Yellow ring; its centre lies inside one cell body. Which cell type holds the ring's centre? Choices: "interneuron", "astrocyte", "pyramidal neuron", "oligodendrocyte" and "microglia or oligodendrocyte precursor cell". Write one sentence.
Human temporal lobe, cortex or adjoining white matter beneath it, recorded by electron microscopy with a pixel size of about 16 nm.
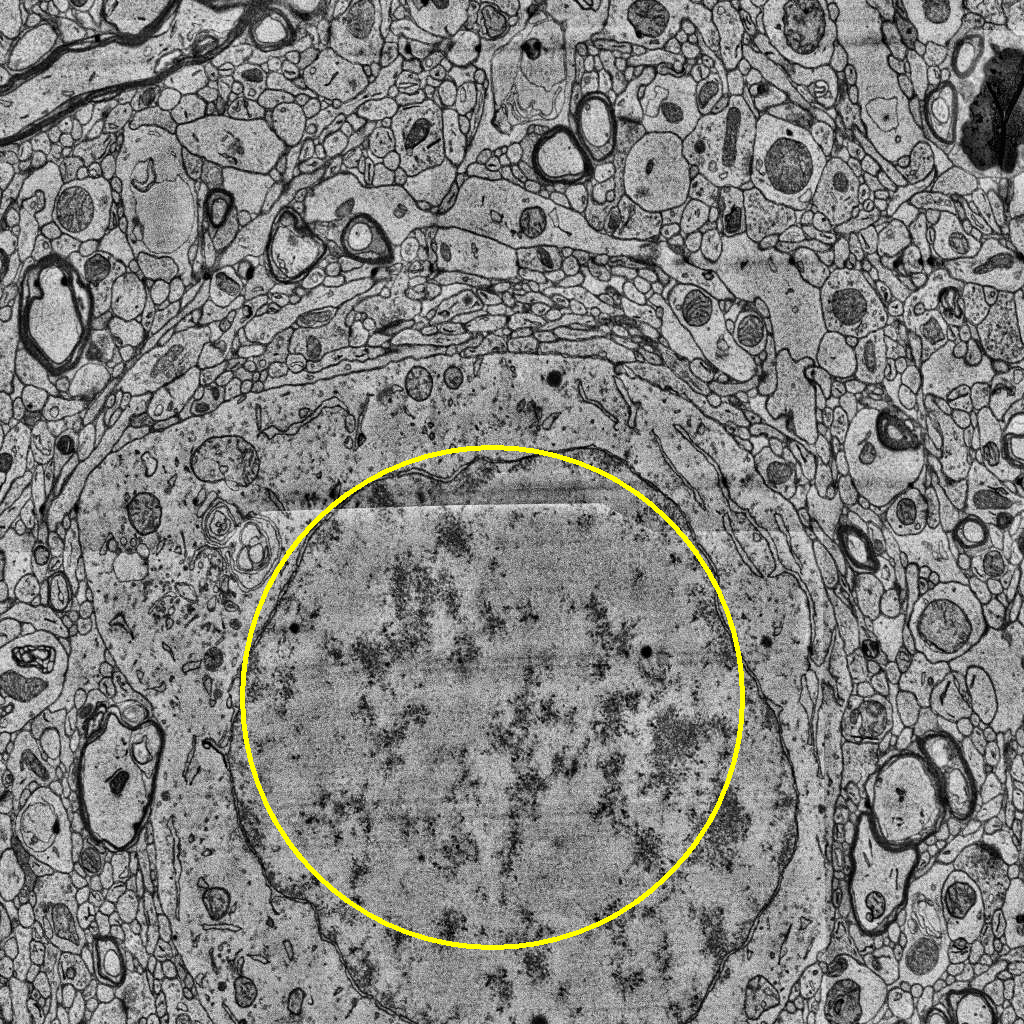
At the centre of the ring sits a pyramidal neuron.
